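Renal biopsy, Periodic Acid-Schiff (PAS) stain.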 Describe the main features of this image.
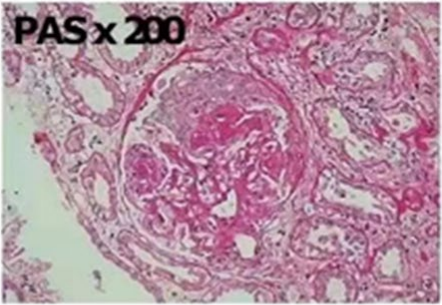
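The glomerulus is a round capillary tuft enclosed by a thin capsule with a narrow space around it. Within the tuft, bright magenta material lies between the capillary loops, with scattered small dark nuclei. Around the glomerulus lie cross-sections of tubules, each ringed by a thin magenta membrane and lined by pale pink epithelial cells.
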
